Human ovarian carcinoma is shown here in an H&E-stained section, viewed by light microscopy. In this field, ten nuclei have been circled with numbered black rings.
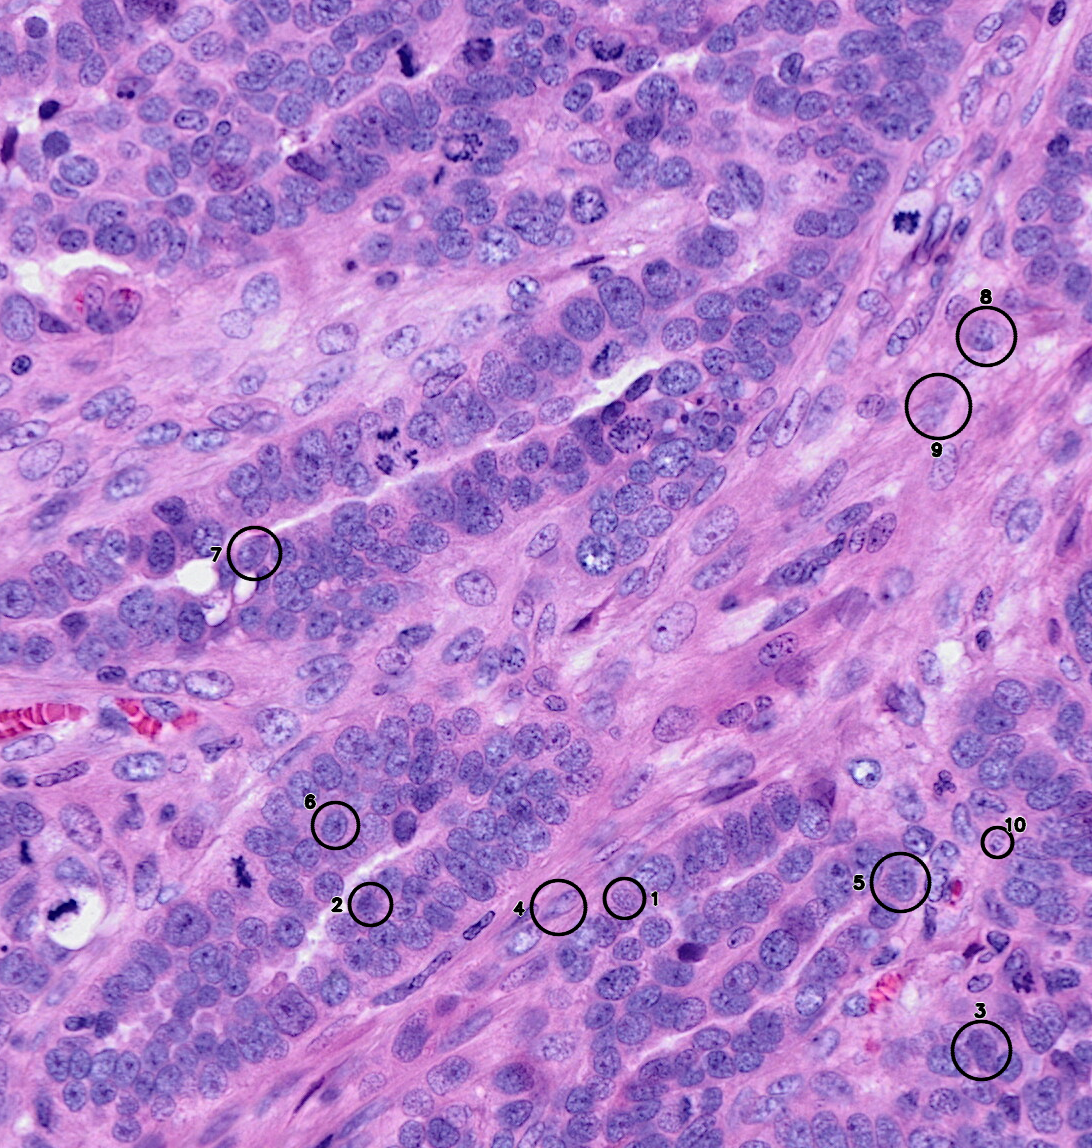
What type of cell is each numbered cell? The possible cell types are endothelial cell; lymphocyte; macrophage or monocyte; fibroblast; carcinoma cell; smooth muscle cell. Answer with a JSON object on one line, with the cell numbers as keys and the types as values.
{"1": "carcinoma cell", "2": "carcinoma cell", "3": "carcinoma cell", "4": "fibroblast", "5": "carcinoma cell", "6": "carcinoma cell", "7": "carcinoma cell", "8": "fibroblast", "9": "fibroblast", "10": "macrophage or monocyte"}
